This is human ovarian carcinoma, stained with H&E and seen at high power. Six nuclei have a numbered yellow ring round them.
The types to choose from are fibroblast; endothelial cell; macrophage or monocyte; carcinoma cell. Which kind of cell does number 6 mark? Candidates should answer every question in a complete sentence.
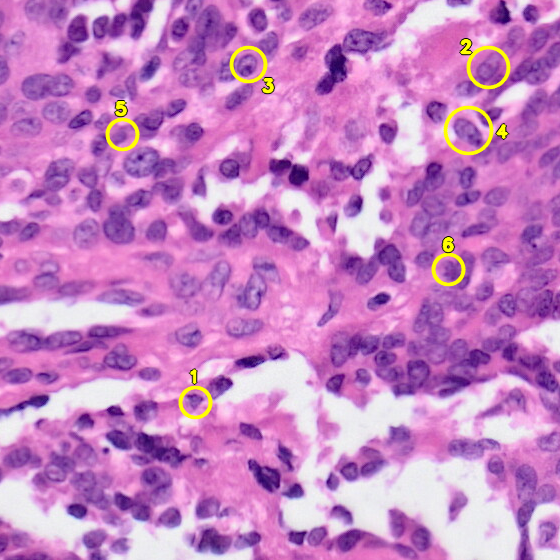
The cell identified by number 6 is a carcinoma cell.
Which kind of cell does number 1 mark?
The cell pointed out by number 1 is a macrophage or monocyte.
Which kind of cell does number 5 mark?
The cell with the number 5 is a carcinoma cell.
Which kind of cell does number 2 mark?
The cell indicated with the number 2 is classed as a carcinoma cell.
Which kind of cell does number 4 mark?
Number 4 among the marked cells is a macrophage or monocyte.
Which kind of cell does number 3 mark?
The mark numbered 3 indicates the nucleus of a macrophage or monocyte.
